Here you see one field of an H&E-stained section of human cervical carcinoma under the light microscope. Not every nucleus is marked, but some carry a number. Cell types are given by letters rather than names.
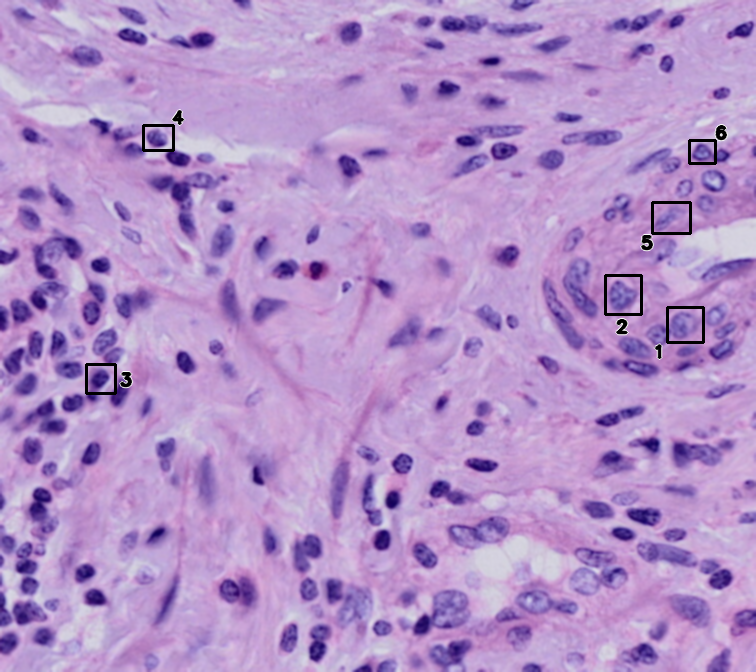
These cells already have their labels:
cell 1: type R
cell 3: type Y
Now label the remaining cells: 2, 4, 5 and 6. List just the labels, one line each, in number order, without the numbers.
type R
type Y
type R
type R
